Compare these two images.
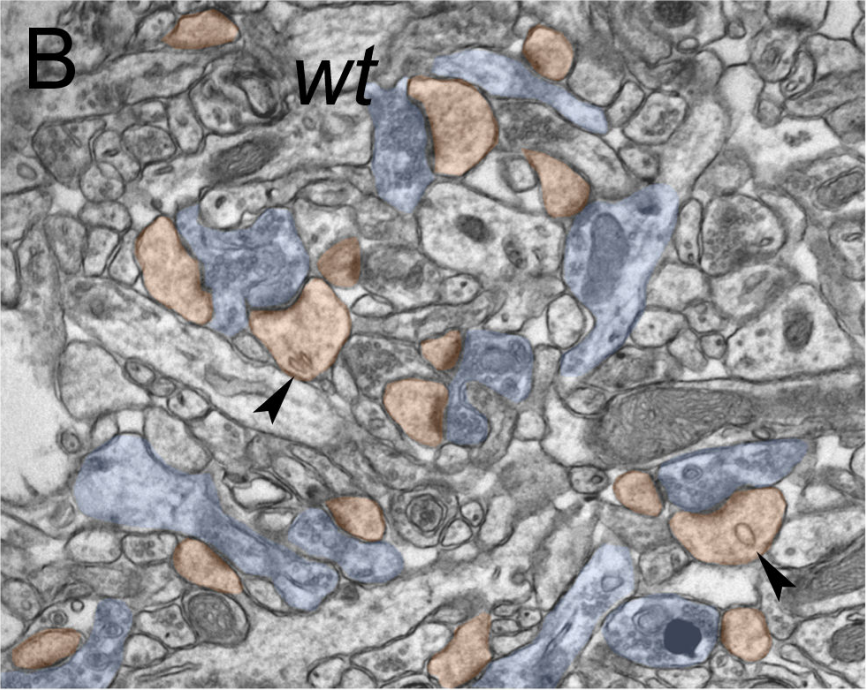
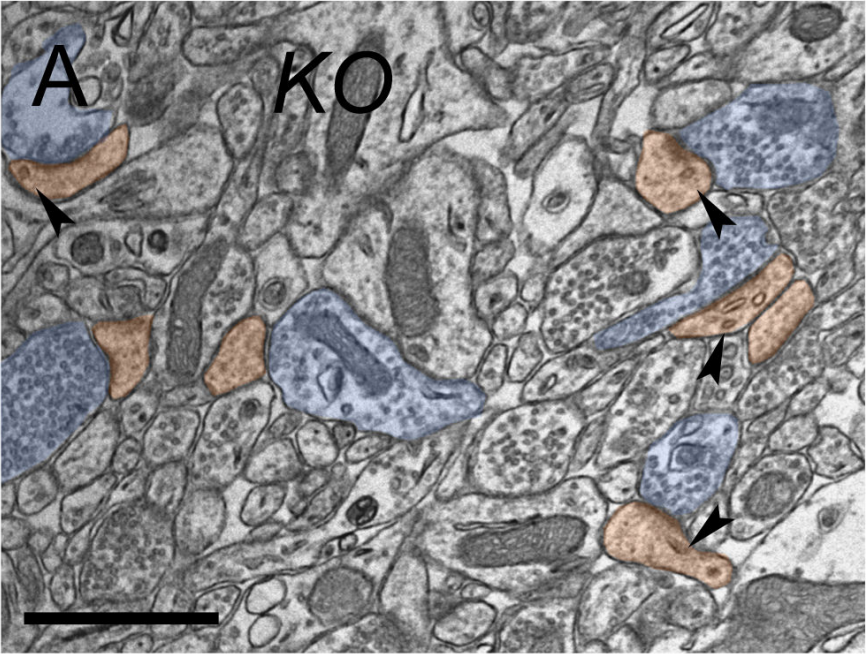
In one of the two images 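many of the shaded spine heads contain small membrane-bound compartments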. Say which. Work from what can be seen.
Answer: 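Second image: about seven orange-shaded profiles, four holding small membrane-bound compartments (arrowheads). That points to this answer: the second image.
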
